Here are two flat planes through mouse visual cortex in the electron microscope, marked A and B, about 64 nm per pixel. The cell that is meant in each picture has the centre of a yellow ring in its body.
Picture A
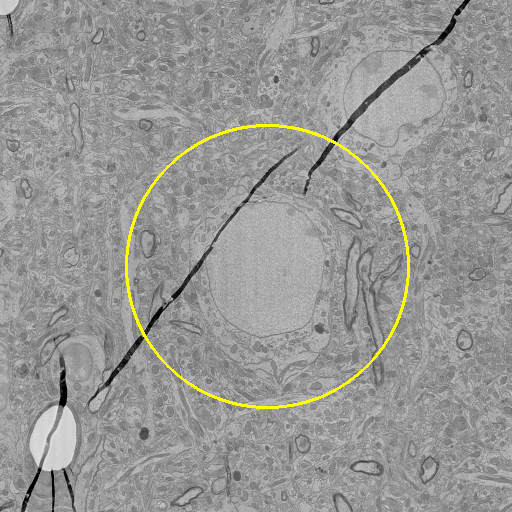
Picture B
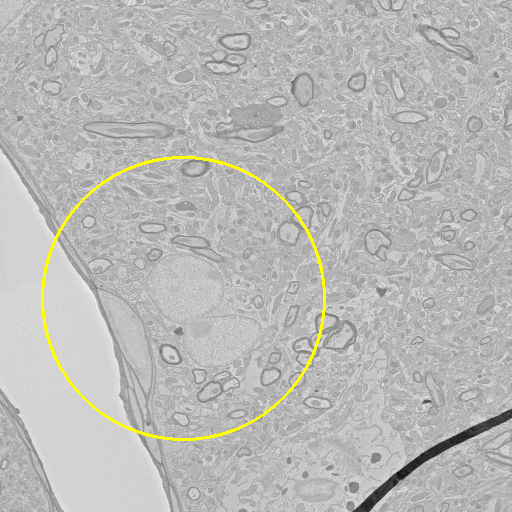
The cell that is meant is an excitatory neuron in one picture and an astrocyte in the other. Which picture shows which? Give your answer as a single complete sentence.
The cell in picture A is an excitatory neuron, and the one in picture B is an astrocyte.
